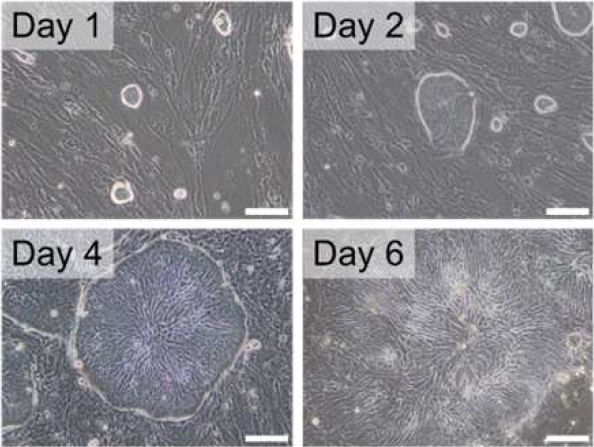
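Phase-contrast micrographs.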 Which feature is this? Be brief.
colonies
